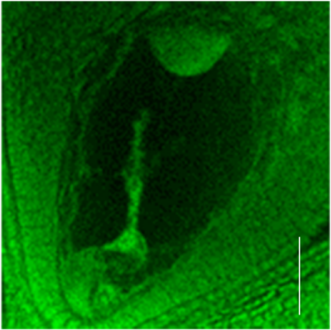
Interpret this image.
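A mature embryo sac appears as a large dark oval cavity within the green-fluorescing tissue of the ovule. At the upper end of the cavity sits a rounded, brightly fluorescing mass of cells, and a thin, irregular bright strand of cytoplasm runs down the middle of the cavity. At the lower end the strand meets a small bright cluster. The cavity is surrounded by several layers of small, tightly packed cells.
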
